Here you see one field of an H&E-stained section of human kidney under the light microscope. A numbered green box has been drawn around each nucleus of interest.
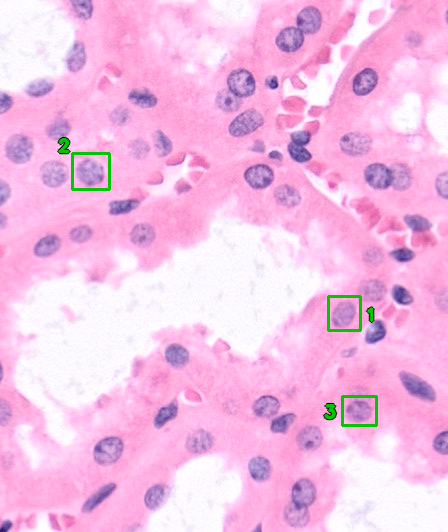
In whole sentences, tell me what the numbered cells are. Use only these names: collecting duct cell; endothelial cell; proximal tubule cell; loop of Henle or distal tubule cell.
Cells 1 and 3 are proximal tubule cells. Cell 2 is a loop of Henle or distal tubule cell.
